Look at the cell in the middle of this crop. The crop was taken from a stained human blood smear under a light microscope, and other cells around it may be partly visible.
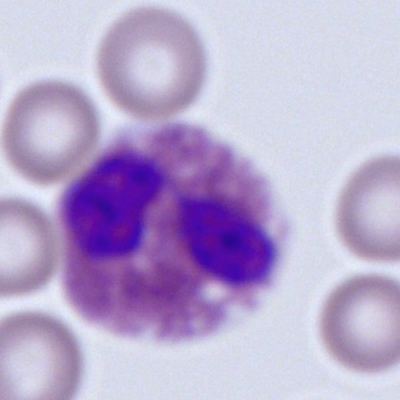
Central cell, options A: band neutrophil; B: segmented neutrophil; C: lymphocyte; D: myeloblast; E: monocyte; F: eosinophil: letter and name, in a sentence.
The correct option is F, as the central cell is an eosinophil.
